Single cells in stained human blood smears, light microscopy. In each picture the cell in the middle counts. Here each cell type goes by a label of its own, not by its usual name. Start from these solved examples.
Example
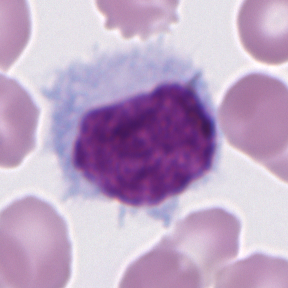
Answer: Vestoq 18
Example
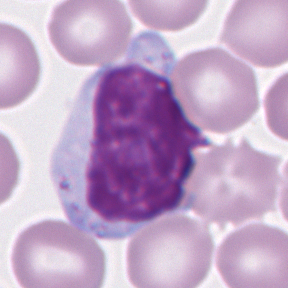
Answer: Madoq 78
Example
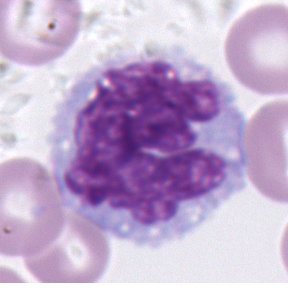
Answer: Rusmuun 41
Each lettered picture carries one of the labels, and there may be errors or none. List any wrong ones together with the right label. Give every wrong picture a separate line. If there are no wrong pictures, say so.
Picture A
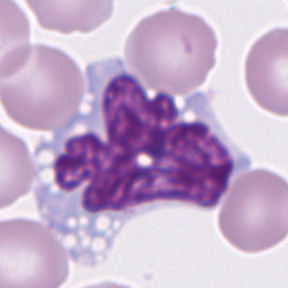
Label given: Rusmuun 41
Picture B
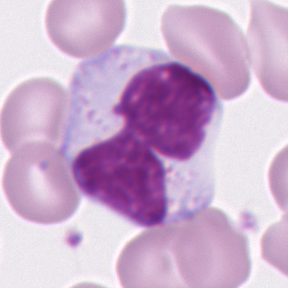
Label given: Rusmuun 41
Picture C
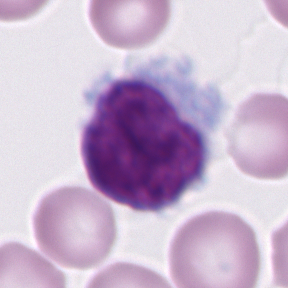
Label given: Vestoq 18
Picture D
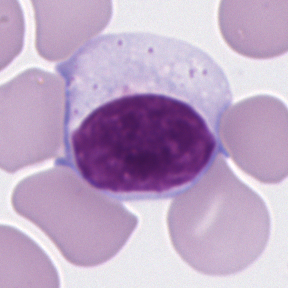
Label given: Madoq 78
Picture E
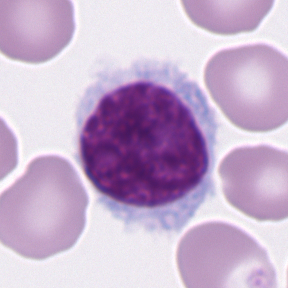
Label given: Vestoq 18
Wrong: B (Rusmuun 41); correct: Madoq 78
